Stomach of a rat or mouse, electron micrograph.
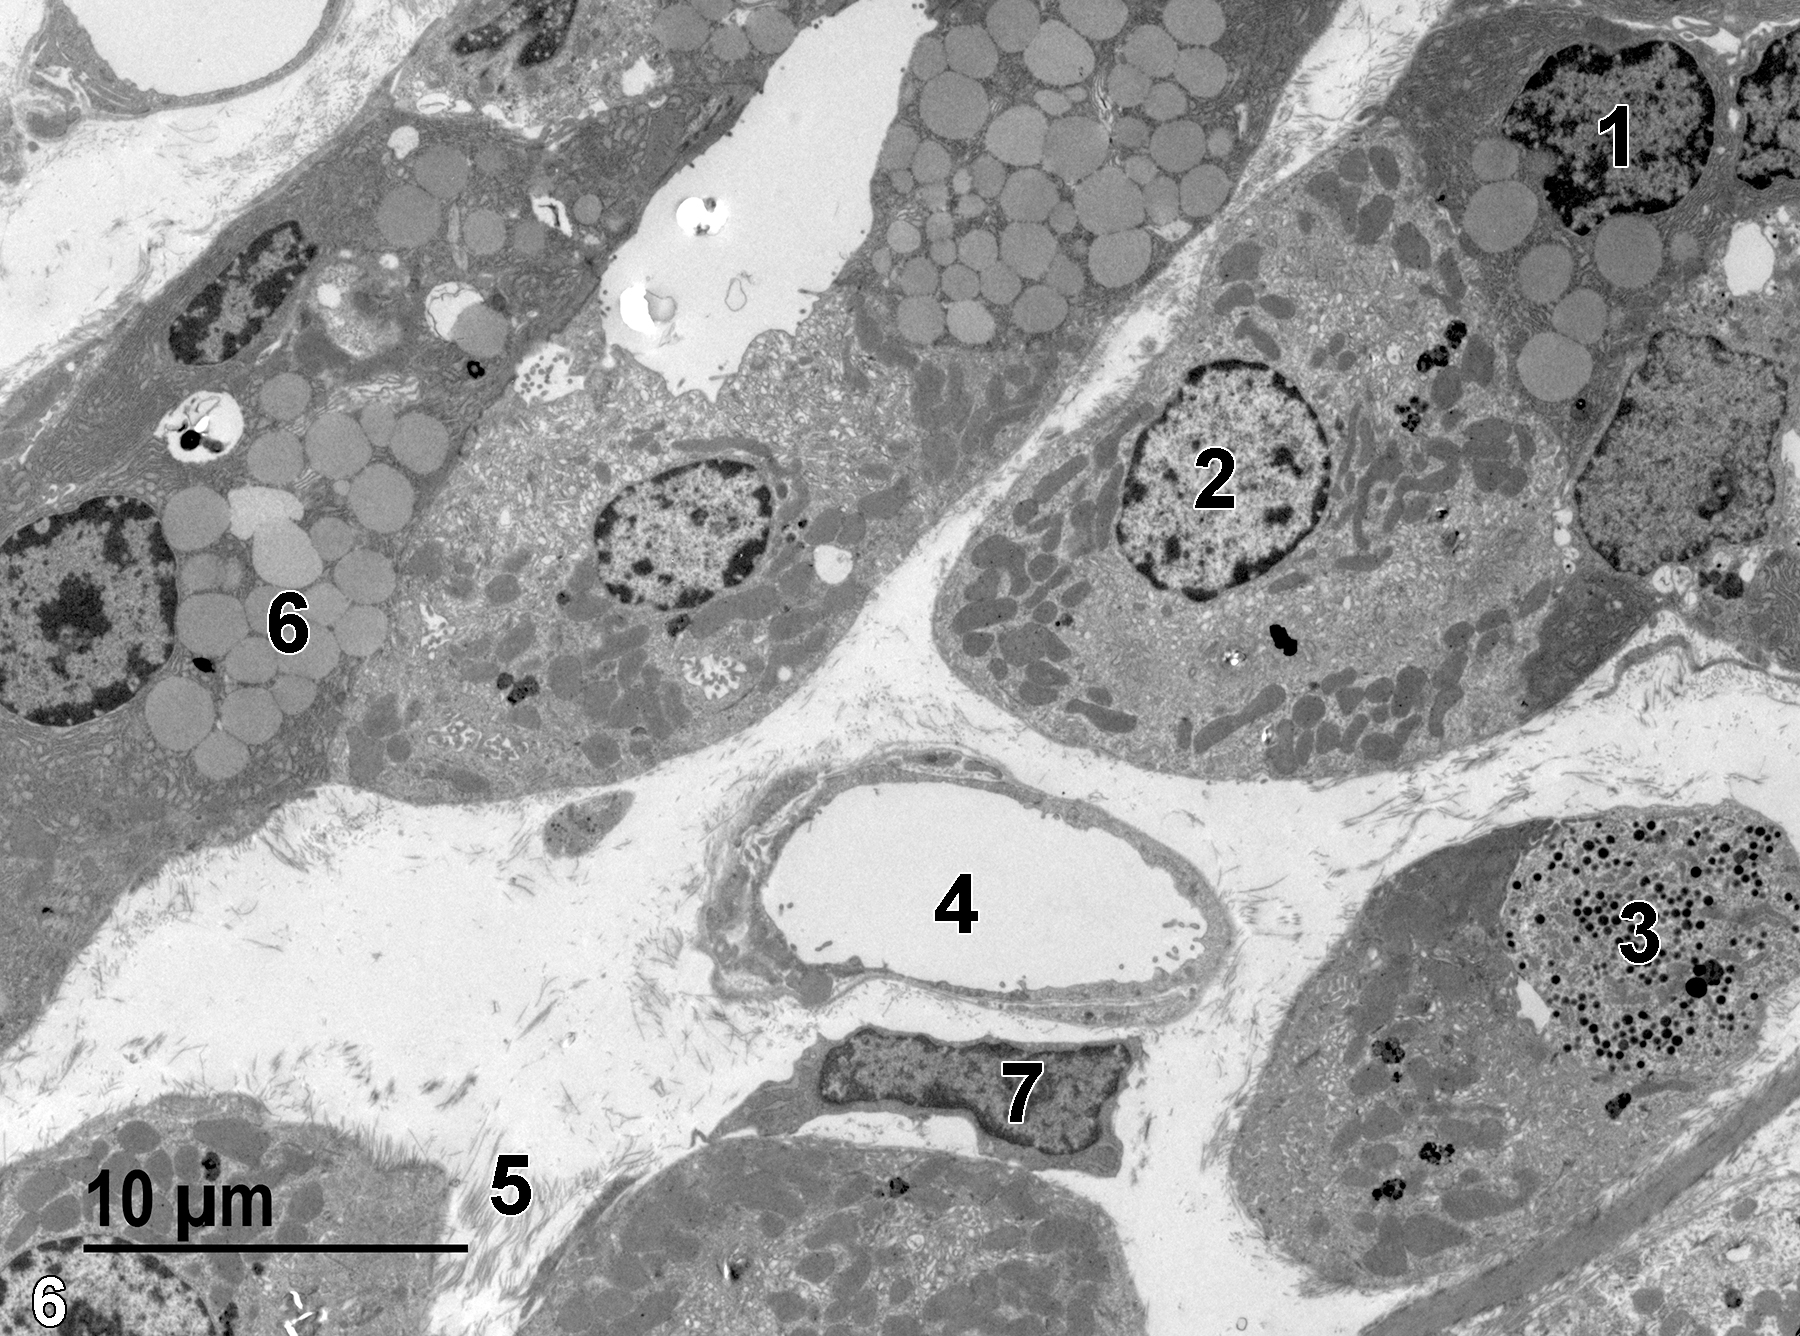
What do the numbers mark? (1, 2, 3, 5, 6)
1. chief cell nucleus
2. parietal cell nucleus
3. enteroendocrine cell
5. loose collagenous matrix
6. zymogen granules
